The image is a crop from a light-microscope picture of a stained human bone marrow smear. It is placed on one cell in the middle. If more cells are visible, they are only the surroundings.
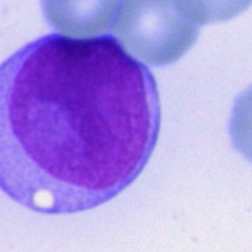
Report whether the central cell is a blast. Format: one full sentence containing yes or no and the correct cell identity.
Yes, the cell occupying the center is a blast.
